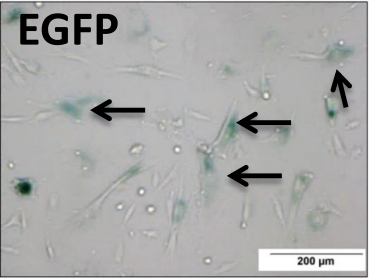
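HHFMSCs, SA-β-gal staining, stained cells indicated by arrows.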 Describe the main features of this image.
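This brightfield image shows loosely scattered cultured cells, several of which carry a blue-green stain. Most cells are elongated or spindle-shaped with thin tapering ends, and a few are broader and more flattened. The blue-green colour lies in the cytoplasm of individual cells rather than in the background. Stained and unstained cells lie side by side across the field. The cells are sparse, with wide clear spaces between them.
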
